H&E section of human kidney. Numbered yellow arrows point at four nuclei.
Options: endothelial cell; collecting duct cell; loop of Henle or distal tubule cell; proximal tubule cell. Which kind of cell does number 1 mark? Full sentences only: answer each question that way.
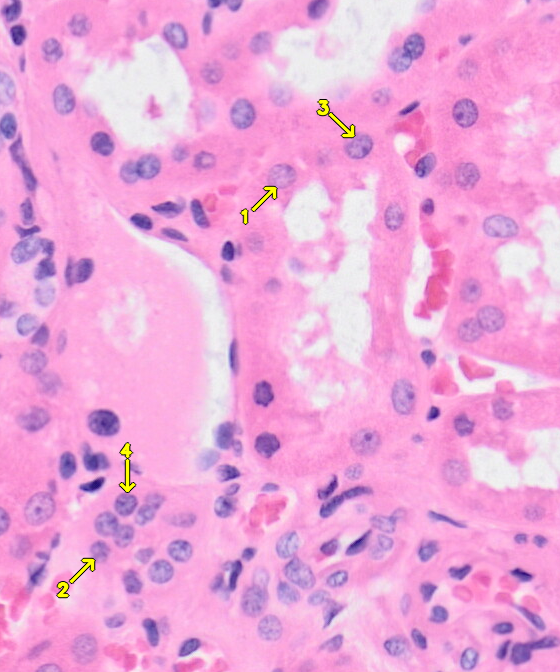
The cell bearing label 1 corresponds to a proximal tubule cell.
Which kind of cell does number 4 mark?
Cell 4, as marked in the section, is a collecting duct cell.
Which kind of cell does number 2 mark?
The cell referenced by the number 2 is a collecting duct cell in this field.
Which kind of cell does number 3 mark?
The numeral 3 marks a proximal tubule cell in this section.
